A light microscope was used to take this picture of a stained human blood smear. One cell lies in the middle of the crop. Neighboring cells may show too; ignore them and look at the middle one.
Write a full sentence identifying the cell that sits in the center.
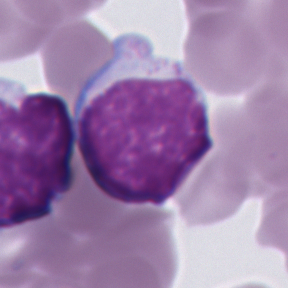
The cell in the middle of the field of view is a large granular lymphocyte.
